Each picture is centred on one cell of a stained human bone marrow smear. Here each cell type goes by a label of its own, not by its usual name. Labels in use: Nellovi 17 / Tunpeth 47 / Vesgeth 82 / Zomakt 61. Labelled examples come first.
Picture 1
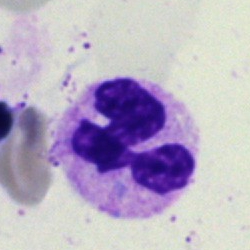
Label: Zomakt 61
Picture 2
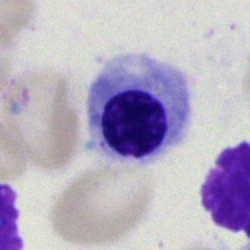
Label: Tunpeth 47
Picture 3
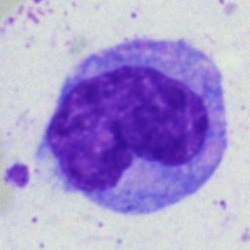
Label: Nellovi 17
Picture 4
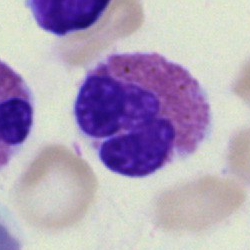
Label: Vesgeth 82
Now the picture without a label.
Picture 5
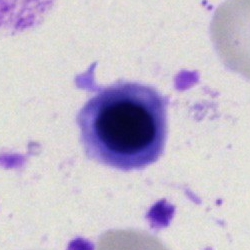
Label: Tunpeth 47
